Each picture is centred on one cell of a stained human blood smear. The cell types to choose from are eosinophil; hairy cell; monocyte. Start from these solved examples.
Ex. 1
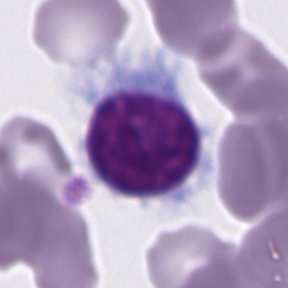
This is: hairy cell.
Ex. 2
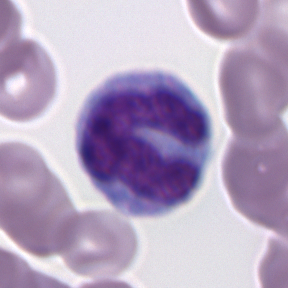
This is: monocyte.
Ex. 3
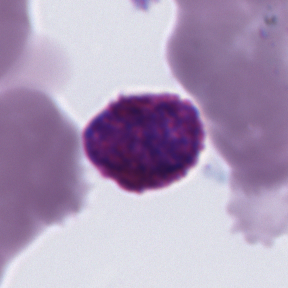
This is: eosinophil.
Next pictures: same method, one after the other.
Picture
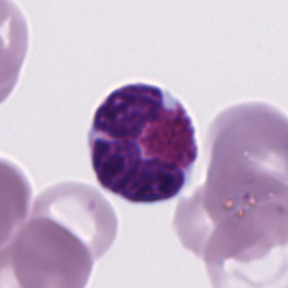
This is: eosinophil.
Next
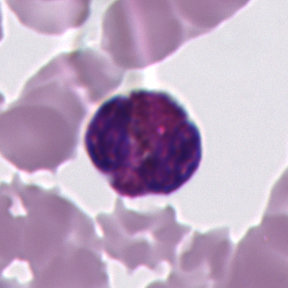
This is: eosinophil.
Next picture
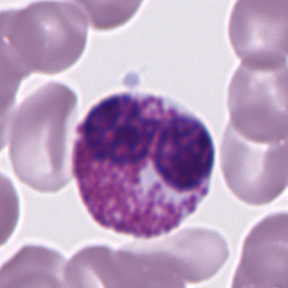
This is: eosinophil.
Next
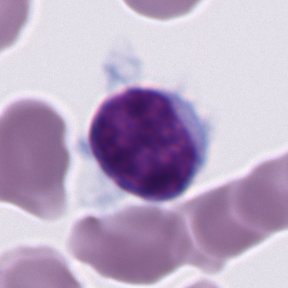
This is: hairy cell.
